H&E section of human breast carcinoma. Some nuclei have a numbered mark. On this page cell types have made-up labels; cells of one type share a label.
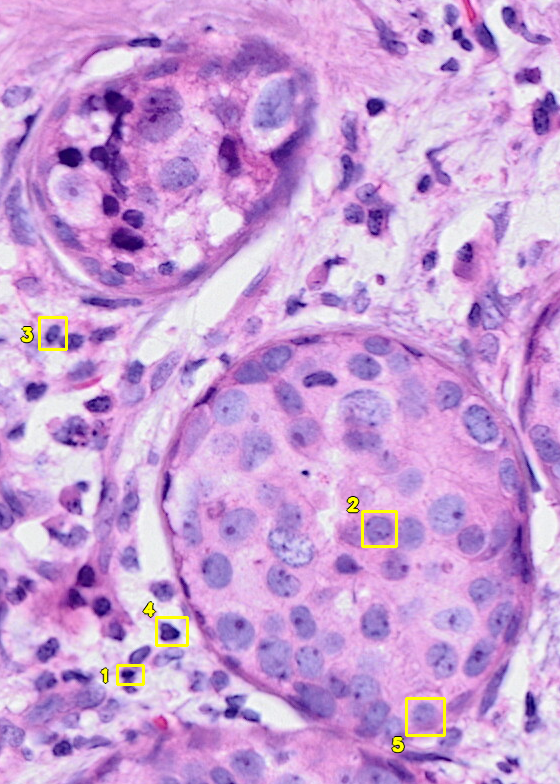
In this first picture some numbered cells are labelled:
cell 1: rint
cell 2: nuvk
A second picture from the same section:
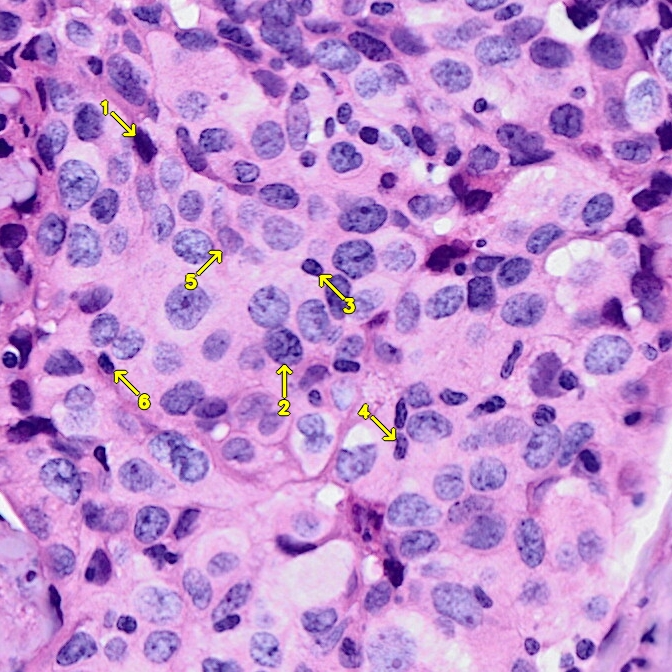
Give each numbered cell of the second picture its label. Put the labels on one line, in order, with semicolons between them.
nuvk; nuvk; rint; rint; nuvk; rint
